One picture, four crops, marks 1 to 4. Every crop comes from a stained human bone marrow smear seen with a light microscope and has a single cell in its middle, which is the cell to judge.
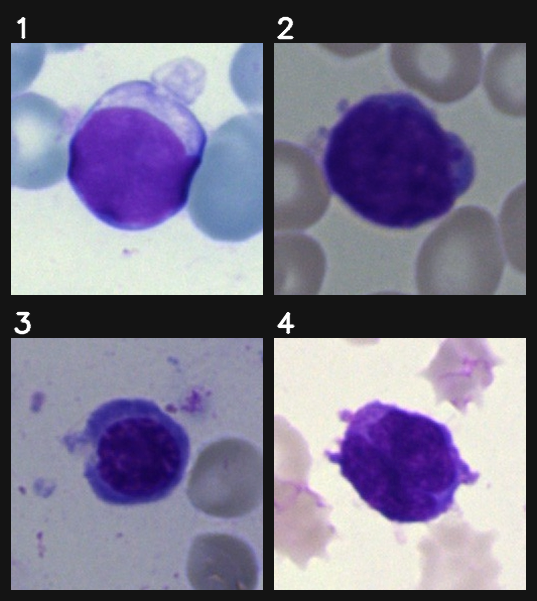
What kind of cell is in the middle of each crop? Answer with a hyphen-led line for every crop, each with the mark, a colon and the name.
- 1: lymphocyte
- 2: blast
- 3: erythroblast
- 4: blast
